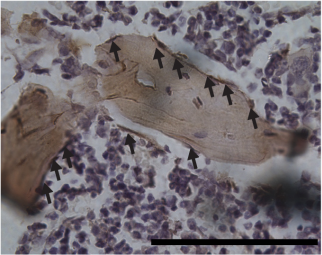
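The trabeculae appear as elongated brown plates with a faintly streaked matrix. Along their edges sit small cells with blue nuclei, pressed against the bone in short rows; these are the bone-lining osteoblasts. Around the trabeculae the marrow is densely packed with small round haematopoietic cells with dark blue nuclei, interrupted by a few pale empty spaces.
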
